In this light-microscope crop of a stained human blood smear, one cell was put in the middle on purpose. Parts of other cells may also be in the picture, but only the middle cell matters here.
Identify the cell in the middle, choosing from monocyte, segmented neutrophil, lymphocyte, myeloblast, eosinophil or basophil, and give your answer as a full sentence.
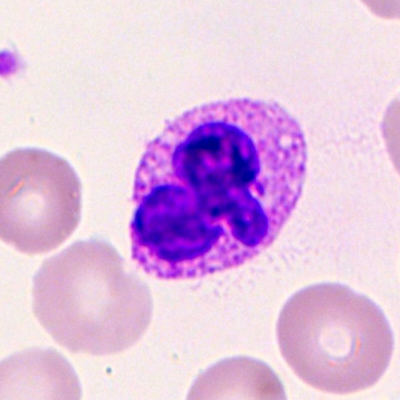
Where the crop is centred, there is a basophil.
